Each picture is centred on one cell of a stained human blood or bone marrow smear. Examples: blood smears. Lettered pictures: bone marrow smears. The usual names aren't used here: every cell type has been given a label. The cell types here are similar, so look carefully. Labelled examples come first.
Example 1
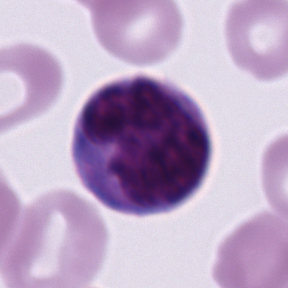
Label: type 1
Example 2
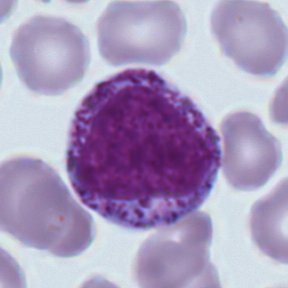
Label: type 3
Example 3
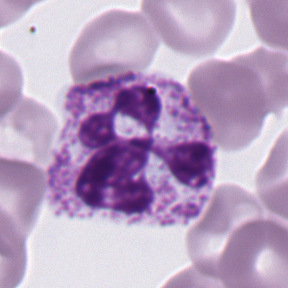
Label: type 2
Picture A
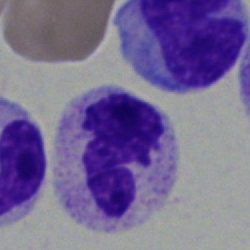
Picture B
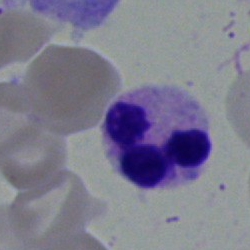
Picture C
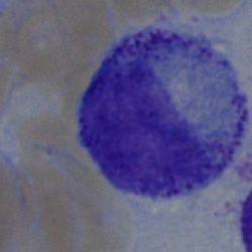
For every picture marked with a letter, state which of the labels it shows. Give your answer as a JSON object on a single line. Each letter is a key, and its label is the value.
{"A": "type 2", "B": "type 2", "C": "type 3"}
